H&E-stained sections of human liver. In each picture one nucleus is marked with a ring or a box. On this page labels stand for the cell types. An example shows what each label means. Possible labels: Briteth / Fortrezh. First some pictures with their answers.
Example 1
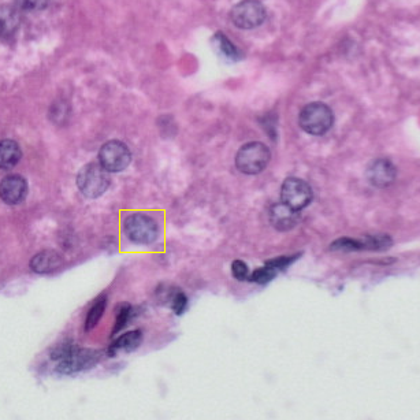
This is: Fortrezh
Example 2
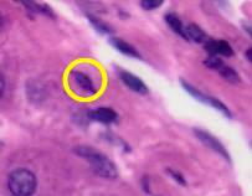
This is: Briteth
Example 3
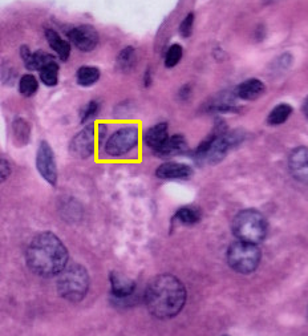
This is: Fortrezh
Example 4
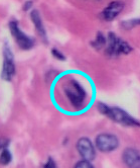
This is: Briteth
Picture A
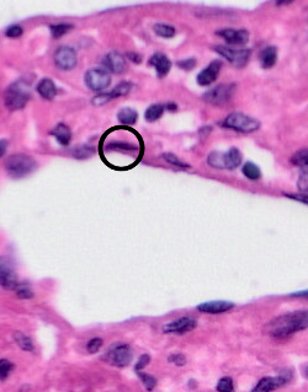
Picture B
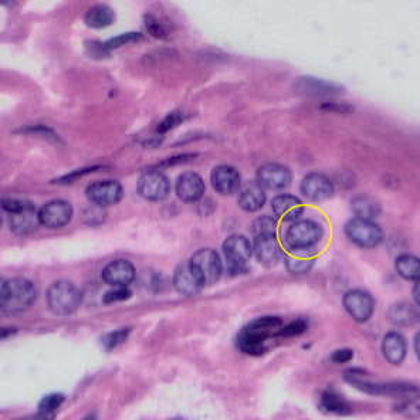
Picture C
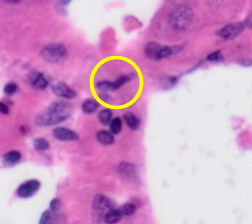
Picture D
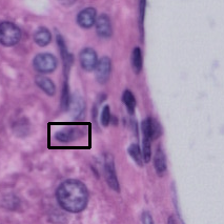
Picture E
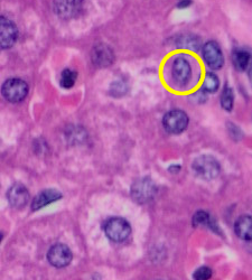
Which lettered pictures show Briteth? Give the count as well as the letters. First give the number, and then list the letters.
Count: 3 (A, C, D)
